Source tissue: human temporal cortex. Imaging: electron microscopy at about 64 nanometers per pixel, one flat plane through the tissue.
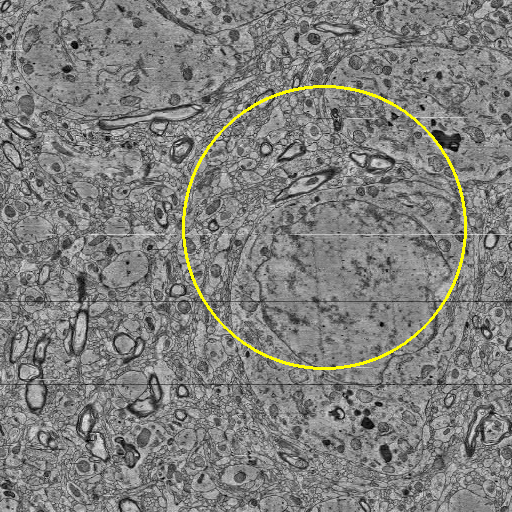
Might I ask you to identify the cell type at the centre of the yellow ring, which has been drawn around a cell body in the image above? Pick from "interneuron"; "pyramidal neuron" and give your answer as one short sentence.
The centre of the ring falls on a pyramidal neuron.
